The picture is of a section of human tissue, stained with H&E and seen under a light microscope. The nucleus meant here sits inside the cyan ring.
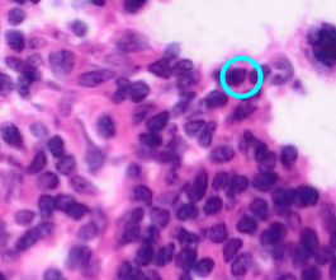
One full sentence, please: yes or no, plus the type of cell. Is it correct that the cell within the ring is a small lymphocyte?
Yes, the cell within the ring is a small lymphocyte in this section.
